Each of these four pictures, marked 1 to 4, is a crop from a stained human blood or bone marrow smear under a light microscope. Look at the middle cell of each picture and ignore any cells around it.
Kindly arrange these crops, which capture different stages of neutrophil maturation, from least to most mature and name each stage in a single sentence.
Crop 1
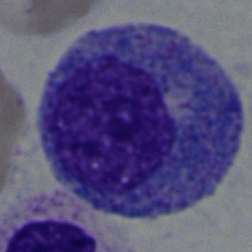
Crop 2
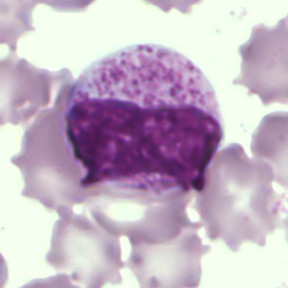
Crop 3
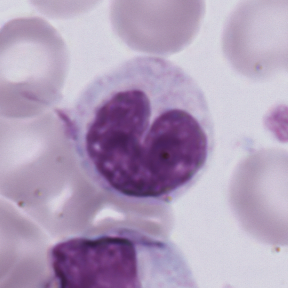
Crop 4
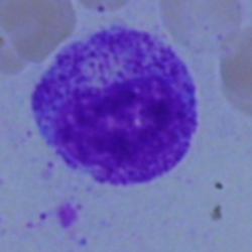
Arranged by increasing maturity, the sequence is crop 1 (a promyelocyte), crop 4 (a myelocyte), crop 2 (a metamyelocyte) and crop 3 (a band neutrophil).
